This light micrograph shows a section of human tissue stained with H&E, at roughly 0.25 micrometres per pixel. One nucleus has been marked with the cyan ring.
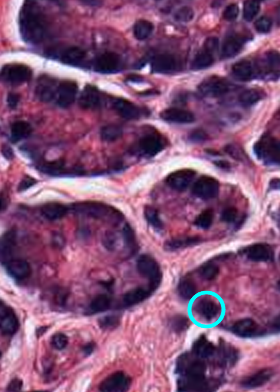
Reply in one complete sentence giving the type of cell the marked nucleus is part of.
The cell to which the marked nucleus belongs is a pancreatic acinar cell.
